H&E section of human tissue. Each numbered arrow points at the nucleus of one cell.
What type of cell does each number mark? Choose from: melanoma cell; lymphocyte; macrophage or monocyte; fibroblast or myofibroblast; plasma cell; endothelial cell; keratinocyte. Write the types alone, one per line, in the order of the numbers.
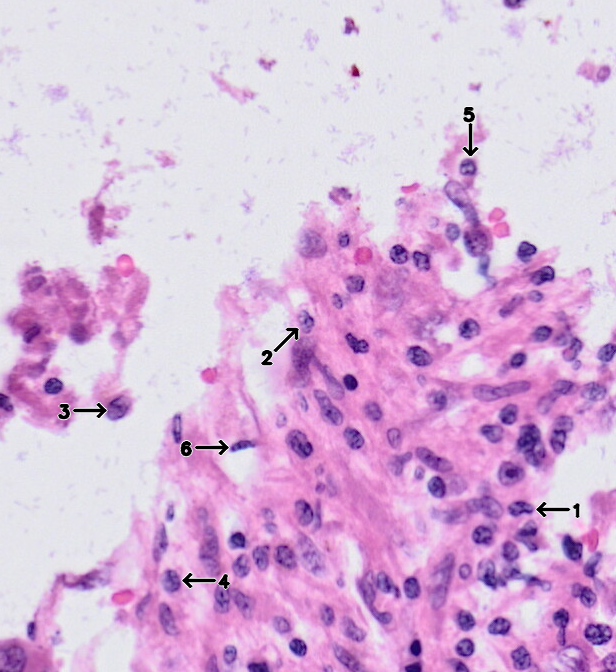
lymphocyte
lymphocyte
macrophage or monocyte
lymphocyte
lymphocyte
fibroblast or myofibroblast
